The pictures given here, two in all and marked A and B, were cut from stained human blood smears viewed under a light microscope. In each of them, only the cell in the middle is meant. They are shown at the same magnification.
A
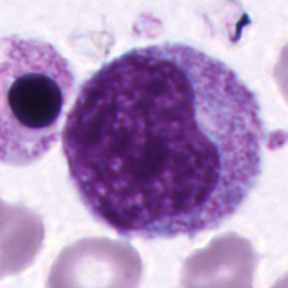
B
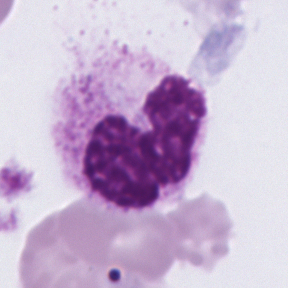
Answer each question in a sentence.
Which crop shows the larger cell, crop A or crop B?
It is the cell in crop A, about 1.5 times as large in area as the cell in crop B.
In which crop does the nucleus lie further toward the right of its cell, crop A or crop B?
In crop B the nucleus is shifted more toward the right.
